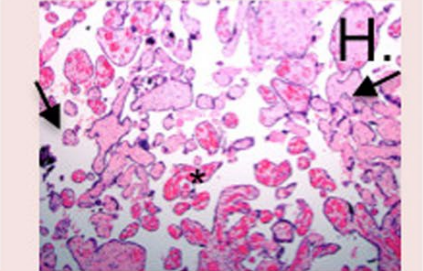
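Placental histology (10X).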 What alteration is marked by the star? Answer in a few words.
Chorangiosis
